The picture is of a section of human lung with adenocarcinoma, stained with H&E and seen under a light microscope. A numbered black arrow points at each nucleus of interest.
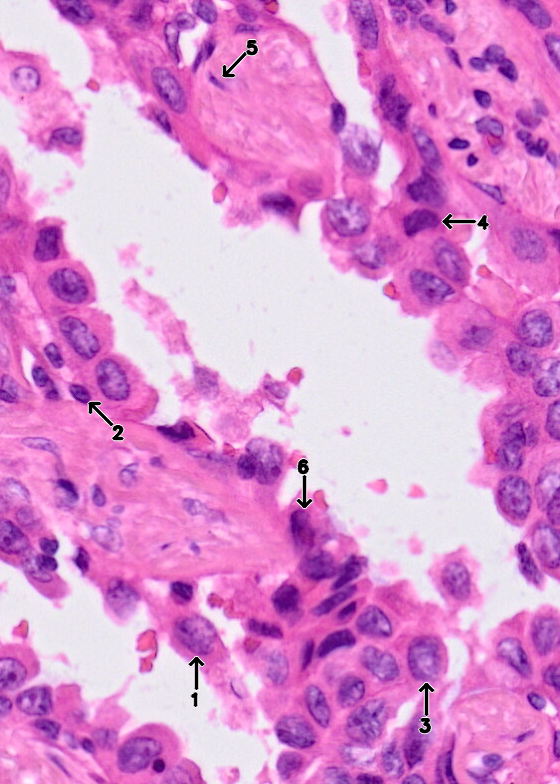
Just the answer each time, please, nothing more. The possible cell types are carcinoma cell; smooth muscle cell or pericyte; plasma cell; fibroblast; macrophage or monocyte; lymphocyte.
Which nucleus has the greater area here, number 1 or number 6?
1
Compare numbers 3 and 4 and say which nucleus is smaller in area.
4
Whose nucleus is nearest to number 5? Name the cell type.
fibroblast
